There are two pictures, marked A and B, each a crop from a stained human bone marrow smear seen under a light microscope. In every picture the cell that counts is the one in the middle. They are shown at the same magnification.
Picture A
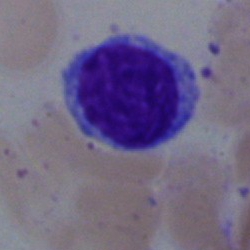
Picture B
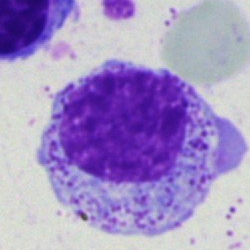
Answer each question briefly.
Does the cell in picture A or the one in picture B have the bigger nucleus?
B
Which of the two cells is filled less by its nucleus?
B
